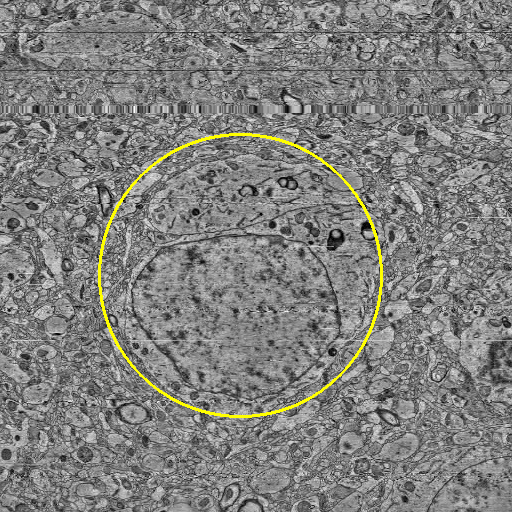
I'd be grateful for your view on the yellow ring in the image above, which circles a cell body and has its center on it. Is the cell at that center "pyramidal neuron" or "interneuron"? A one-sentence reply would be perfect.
The cell at the center of the yellow ring is a pyramidal neuron.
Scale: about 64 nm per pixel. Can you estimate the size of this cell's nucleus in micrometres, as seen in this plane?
The nucleus of the ringed cell is approximately 14 by 11 micrometres in this plane.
